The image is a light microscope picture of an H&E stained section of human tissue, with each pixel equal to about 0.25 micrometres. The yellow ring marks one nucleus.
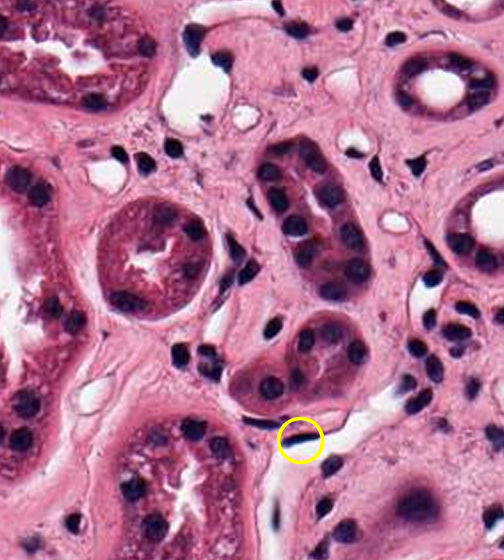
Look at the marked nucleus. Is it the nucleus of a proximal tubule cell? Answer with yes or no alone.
no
